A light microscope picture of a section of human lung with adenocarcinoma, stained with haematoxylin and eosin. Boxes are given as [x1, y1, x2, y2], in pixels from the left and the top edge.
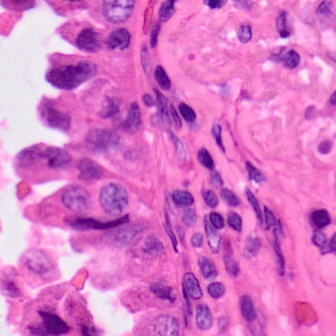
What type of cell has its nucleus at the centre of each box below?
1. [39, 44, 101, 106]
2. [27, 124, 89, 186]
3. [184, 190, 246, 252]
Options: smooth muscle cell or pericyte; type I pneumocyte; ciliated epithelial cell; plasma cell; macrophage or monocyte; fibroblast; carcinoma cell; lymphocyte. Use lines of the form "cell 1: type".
cell 1: carcinoma cell
cell 2: carcinoma cell
cell 3: lymphocyte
